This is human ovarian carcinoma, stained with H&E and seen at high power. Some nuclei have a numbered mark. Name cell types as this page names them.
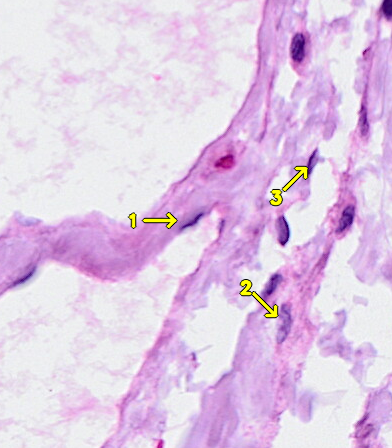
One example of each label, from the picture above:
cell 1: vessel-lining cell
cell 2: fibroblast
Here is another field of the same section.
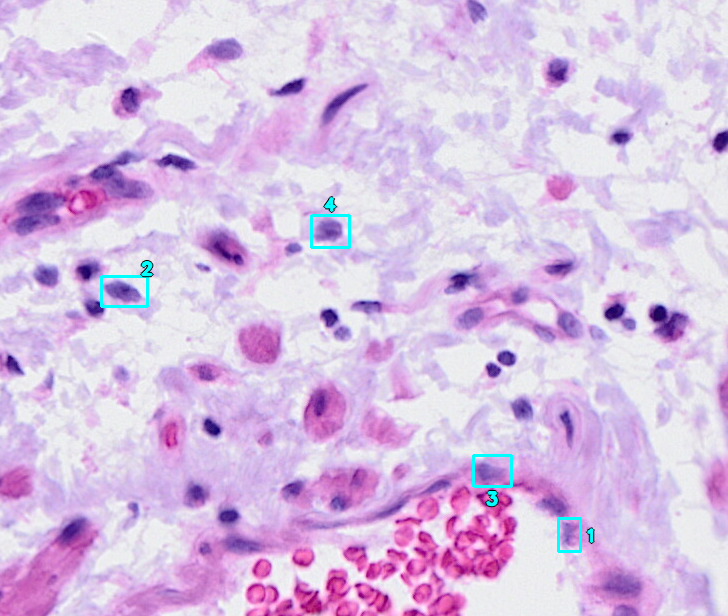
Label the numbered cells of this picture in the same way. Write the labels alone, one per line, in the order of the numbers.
vessel-lining cell
fibroblast
vessel-lining cell
fibroblast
